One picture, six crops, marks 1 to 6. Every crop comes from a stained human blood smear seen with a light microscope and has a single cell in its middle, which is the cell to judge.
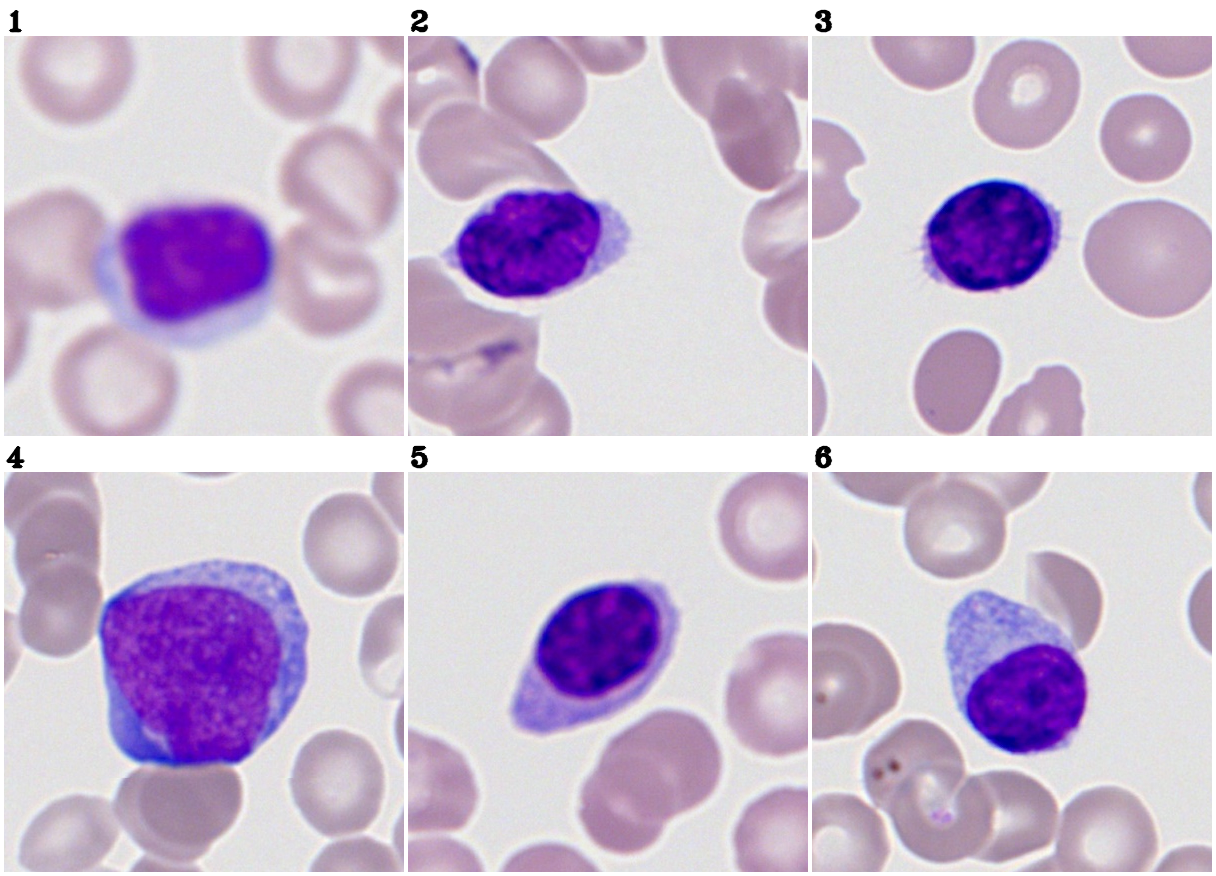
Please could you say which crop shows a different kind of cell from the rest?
4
